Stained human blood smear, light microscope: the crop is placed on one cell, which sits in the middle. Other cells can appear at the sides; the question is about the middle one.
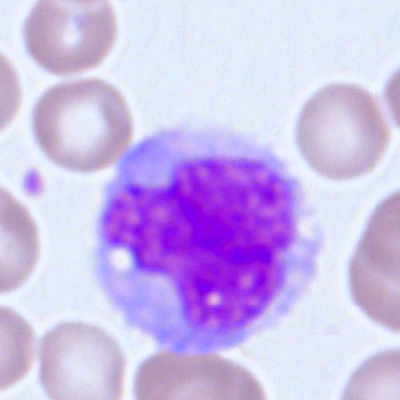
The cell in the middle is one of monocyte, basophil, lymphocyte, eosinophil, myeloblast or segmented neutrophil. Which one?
monocyte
